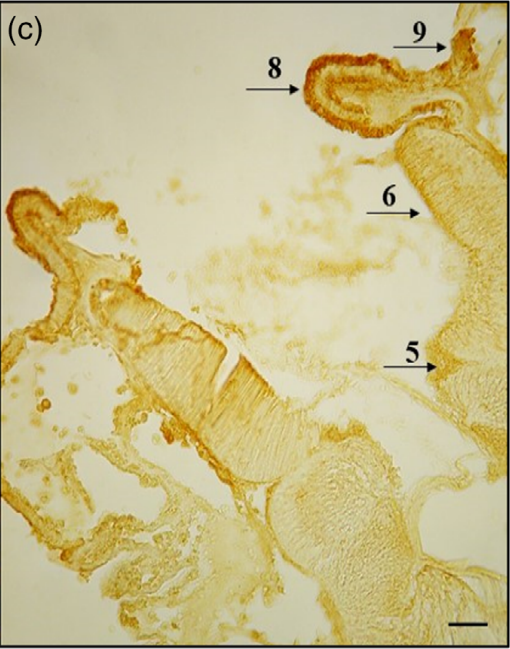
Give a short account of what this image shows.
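Here part of the endostyle is cut, with tall columnar cells forming striated bands along the groove and a thickened, folded epithelium curling over at the upper edge. That upper folded epithelium stains dark brown, while the tall striated columnar band beneath it takes only a light brown tint.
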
